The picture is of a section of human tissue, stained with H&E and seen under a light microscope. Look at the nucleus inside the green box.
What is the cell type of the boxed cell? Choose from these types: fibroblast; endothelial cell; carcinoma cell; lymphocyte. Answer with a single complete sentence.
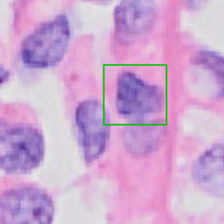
As classified here, the boxed cell is a carcinoma cell.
